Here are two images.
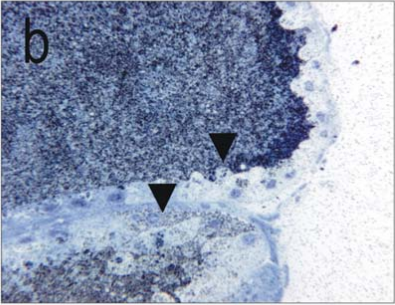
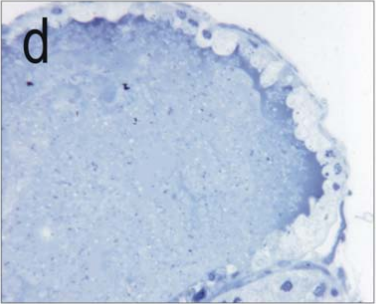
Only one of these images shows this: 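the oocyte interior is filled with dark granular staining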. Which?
The first image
